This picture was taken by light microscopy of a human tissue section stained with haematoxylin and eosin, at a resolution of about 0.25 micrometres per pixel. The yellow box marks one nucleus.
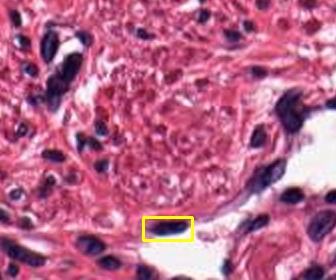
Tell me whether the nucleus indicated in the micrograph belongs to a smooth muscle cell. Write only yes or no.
no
